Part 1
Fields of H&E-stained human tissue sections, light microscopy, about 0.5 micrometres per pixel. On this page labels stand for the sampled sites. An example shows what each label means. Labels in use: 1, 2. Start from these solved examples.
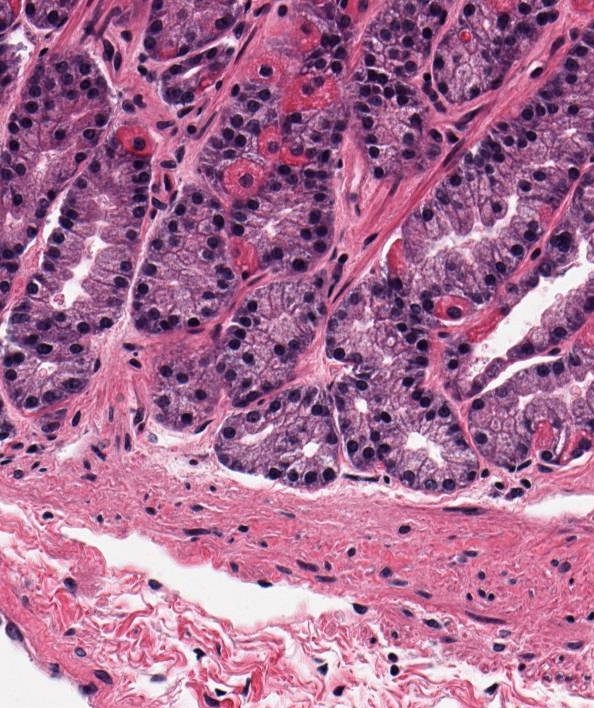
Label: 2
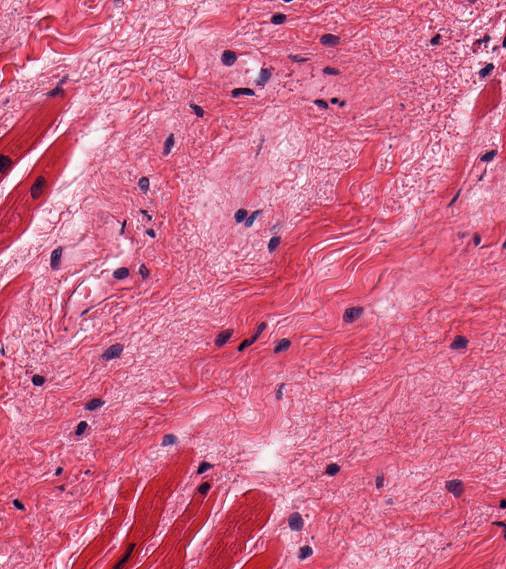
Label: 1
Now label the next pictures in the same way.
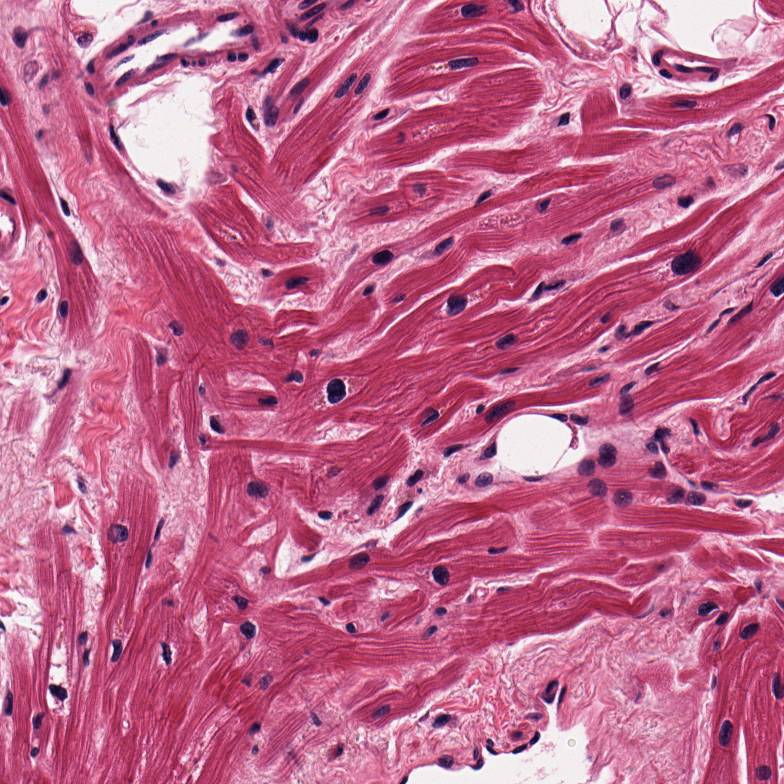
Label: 1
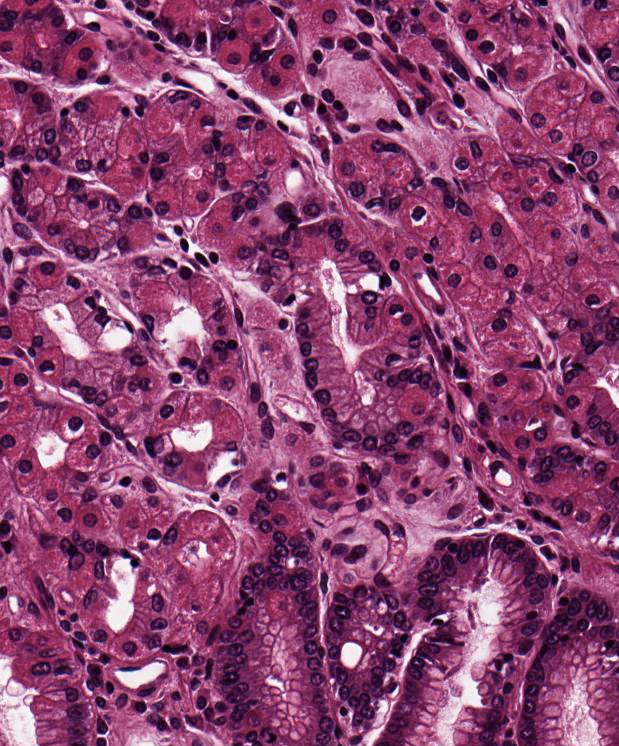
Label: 2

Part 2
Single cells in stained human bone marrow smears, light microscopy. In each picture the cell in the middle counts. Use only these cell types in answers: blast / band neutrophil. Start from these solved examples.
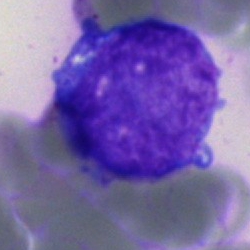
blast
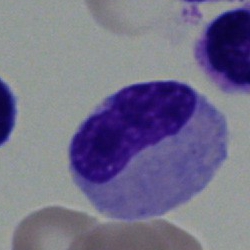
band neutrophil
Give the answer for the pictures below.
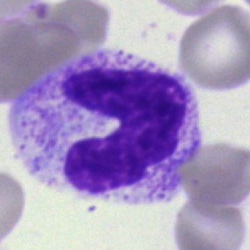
band neutrophil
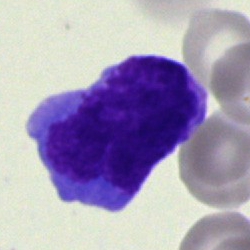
blast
